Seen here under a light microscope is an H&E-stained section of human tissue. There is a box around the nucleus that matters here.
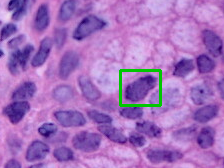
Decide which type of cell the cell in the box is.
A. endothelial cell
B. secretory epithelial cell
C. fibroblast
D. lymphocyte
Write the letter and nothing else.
B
